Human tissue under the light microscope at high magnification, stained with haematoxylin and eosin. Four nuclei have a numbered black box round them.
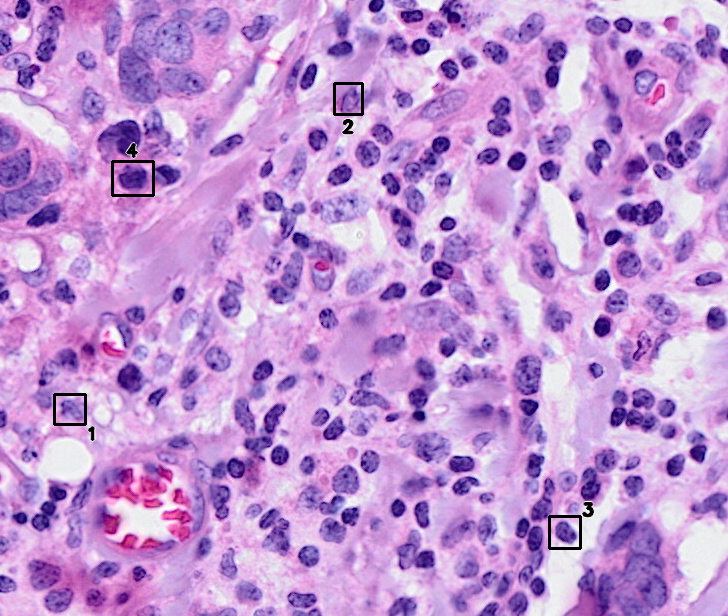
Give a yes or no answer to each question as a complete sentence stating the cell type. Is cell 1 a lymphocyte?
No, cell 1 does not count as a lymphocyte; it is a macrophage, monocyte or dendritic cell.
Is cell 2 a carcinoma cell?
No, cell 2 is not a carcinoma cell, but is instead a macrophage, monocyte or dendritic cell.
